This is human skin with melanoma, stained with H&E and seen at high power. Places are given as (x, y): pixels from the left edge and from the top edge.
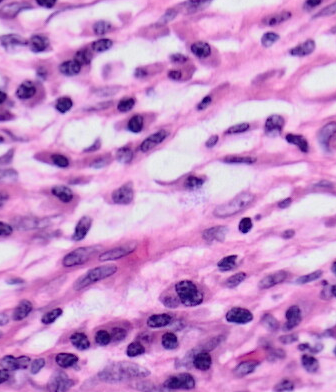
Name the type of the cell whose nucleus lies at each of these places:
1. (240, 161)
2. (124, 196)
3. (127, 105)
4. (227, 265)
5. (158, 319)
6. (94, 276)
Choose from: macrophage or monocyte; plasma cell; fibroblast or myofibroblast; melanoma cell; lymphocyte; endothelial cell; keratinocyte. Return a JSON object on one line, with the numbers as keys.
{"1": "fibroblast or myofibroblast", "2": "macrophage or monocyte", "3": "plasma cell", "4": "lymphocyte", "5": "plasma cell", "6": "endothelial cell"}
